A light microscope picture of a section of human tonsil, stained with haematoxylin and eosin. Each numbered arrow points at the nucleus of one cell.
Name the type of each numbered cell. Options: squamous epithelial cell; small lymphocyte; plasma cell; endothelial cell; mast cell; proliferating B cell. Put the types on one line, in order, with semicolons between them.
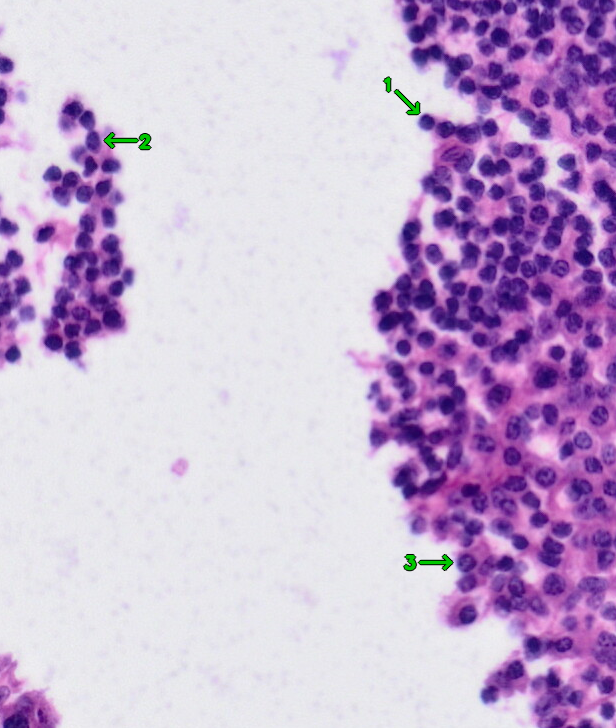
small lymphocyte; small lymphocyte; plasma cell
